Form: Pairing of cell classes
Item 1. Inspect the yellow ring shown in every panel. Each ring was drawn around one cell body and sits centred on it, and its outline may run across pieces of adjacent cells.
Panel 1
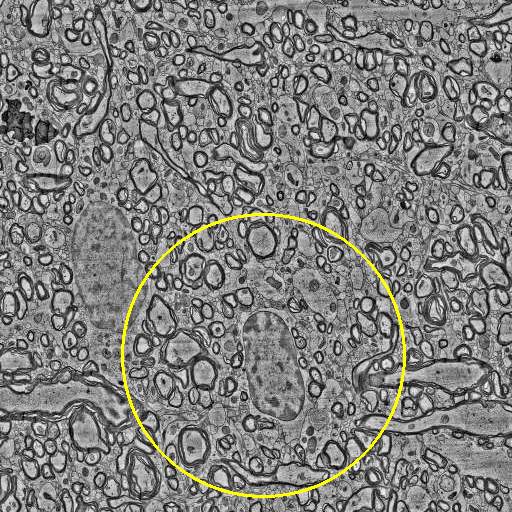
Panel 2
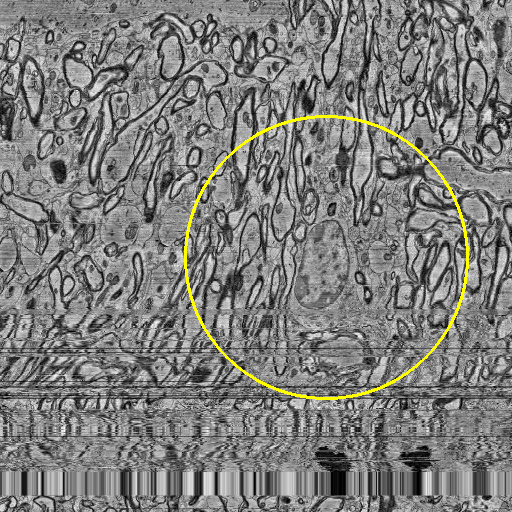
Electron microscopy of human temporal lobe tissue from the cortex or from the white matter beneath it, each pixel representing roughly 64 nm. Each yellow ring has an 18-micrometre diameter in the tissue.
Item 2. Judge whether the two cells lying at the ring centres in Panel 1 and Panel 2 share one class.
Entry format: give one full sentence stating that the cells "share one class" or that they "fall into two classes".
The cells at the ring centres in Panel 1 and Panel 2 share one class.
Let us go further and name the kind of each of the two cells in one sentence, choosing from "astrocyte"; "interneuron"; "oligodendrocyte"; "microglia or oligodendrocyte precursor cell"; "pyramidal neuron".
Each cell at the centre of a ring is a microglial cell or oligodendrocyte precursor cell.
